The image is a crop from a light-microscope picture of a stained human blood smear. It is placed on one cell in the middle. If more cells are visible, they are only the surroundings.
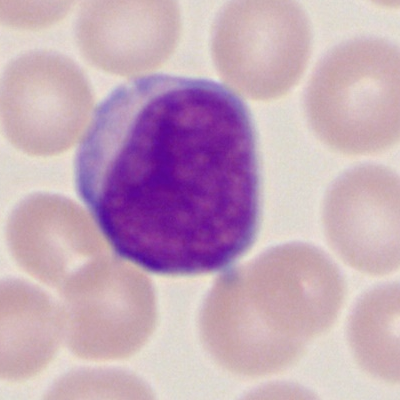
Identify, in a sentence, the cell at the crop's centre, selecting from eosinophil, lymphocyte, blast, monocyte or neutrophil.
By type, the central cell of the crop is a blast.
